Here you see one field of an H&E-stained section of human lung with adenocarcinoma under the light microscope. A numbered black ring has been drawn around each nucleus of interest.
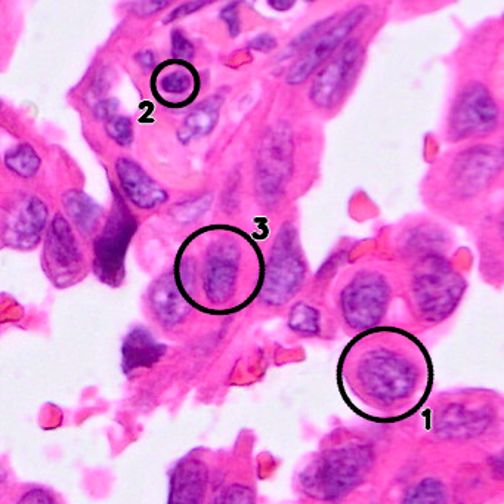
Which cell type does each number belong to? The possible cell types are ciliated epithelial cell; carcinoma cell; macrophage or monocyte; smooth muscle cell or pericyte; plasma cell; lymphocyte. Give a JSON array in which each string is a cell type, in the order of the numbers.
["carcinoma cell", "lymphocyte", "carcinoma cell"]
